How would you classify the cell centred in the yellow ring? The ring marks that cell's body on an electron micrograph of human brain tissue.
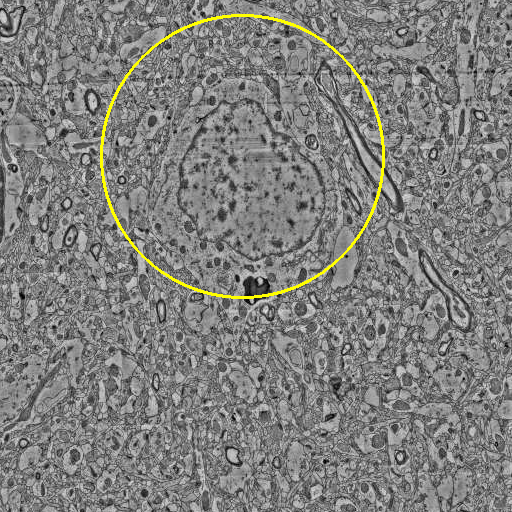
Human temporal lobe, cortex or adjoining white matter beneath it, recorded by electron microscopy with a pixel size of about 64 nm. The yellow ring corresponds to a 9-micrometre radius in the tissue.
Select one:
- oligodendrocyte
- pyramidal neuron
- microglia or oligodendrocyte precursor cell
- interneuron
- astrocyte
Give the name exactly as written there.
interneuron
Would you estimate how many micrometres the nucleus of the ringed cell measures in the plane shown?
The nucleus appears roughly 11 by 9 micrometres in this plane.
